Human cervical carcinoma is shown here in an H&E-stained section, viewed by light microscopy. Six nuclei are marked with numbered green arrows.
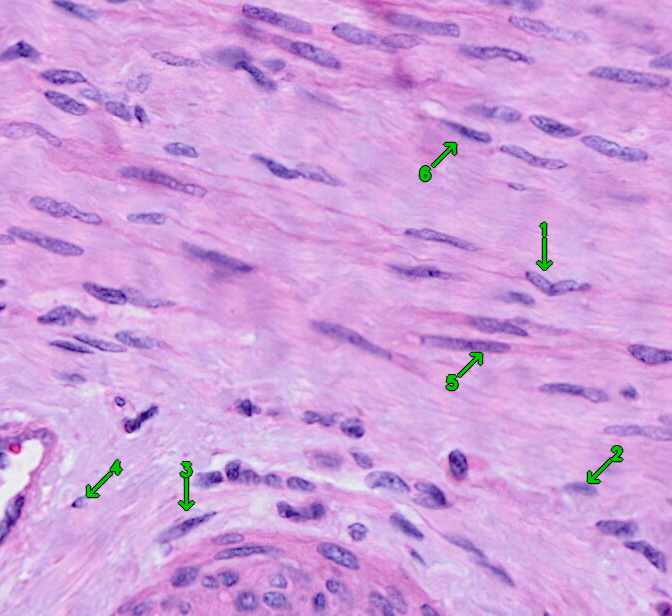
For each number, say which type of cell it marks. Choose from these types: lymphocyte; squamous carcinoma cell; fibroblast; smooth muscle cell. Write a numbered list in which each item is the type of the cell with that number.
1. smooth muscle cell
2. fibroblast
3. fibroblast
4. fibroblast
5. smooth muscle cell
6. fibroblast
